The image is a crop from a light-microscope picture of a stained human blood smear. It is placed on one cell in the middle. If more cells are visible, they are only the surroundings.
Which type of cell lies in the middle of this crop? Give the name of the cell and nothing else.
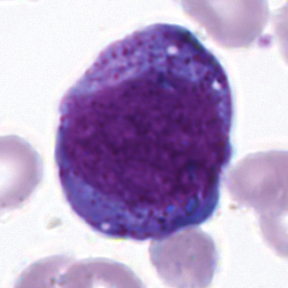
promyelocyte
